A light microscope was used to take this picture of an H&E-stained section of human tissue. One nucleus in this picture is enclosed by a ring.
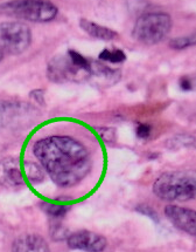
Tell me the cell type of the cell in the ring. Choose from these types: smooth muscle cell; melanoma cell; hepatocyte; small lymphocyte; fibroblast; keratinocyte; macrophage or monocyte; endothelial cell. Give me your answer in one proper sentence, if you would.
Speaking plainly, the cell in the ring is nothing other than a melanoma cell.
